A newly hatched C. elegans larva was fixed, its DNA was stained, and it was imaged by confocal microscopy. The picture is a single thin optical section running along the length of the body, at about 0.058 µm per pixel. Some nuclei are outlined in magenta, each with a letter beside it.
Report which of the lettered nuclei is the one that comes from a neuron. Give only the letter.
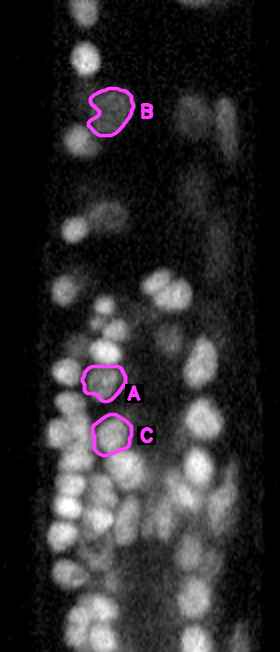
C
